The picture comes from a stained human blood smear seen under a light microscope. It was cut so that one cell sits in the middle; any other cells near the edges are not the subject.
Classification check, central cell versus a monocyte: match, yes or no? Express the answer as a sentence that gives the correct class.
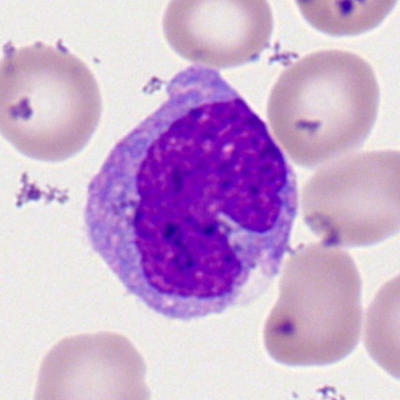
Yes, the identity of the central cell is that of a monocyte.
